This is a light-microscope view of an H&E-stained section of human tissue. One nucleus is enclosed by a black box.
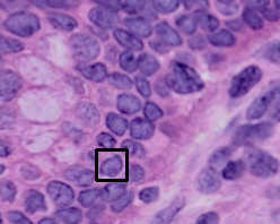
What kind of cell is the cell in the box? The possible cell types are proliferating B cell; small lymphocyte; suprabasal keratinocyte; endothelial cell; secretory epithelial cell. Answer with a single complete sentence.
Students should answer that the cell in the box is a secretory epithelial cell.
